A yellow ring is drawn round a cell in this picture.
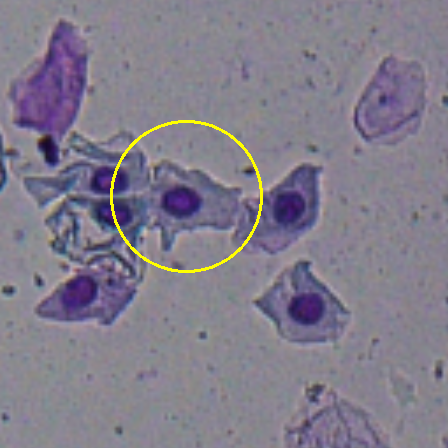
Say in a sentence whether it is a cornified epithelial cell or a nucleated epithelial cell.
The cell in the ring is a nucleated epithelial cell.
